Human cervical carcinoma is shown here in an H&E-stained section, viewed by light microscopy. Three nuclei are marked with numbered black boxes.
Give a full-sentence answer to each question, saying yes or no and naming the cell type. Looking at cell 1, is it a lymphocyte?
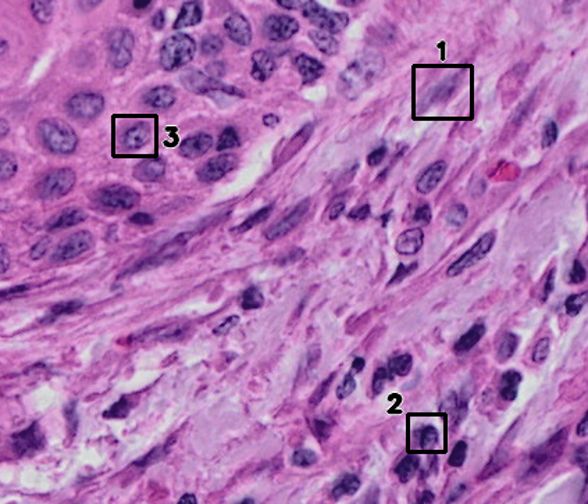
No, the cell given number 1 is a fibroblast, not a lymphocyte.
